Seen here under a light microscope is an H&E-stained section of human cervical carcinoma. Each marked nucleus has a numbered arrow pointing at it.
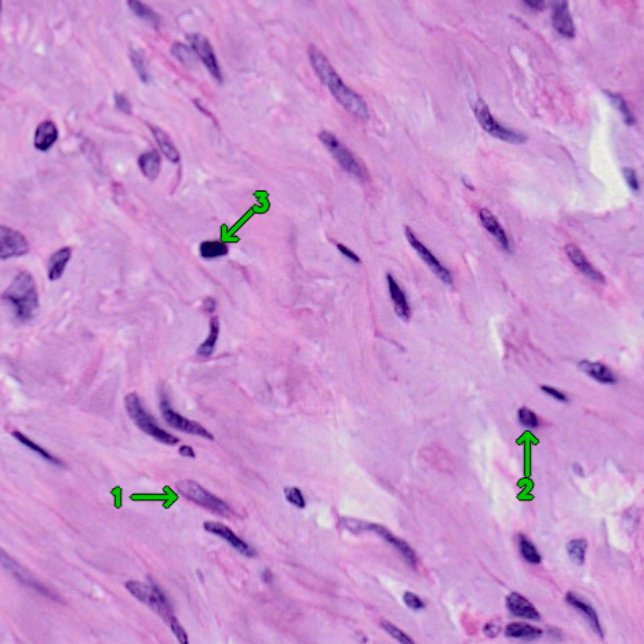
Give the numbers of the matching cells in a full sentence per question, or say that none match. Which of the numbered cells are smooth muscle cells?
Only cell 1 is a smooth muscle cell; none of the other numbered cells is.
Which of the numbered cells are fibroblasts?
Exactly one numbered cell is a fibroblast, and that cell is number 2.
